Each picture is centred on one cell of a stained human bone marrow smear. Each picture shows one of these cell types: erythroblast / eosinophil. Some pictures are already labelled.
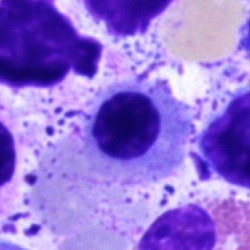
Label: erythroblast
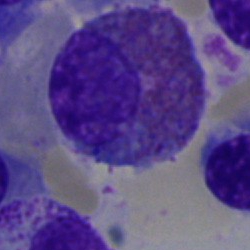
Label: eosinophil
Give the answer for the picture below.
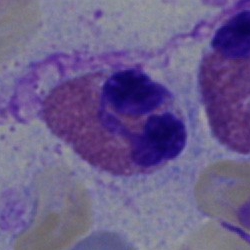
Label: eosinophil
